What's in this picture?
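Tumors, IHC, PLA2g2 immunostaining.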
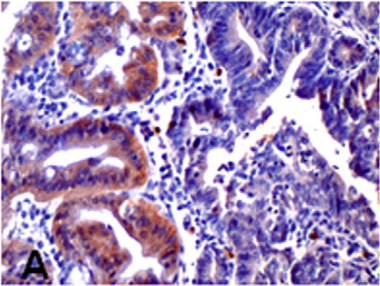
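The glands are tubular with open lumens and are lined by tall columnar cells whose elongated dark blue nuclei are crowded and stacked. Brown stain lies in the cytoplasm of the lining cells in some glands, while other glands in the field are largely blue. The stroma between glands holds many small round and spindle-shaped nuclei with little brown.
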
